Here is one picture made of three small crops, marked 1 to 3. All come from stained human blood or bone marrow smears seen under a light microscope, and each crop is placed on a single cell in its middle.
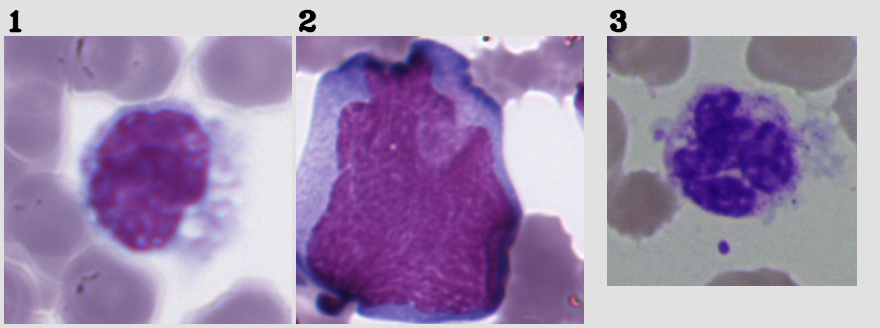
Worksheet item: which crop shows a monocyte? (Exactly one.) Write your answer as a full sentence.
Crop 1 is the crop featuring a monocyte at its center.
